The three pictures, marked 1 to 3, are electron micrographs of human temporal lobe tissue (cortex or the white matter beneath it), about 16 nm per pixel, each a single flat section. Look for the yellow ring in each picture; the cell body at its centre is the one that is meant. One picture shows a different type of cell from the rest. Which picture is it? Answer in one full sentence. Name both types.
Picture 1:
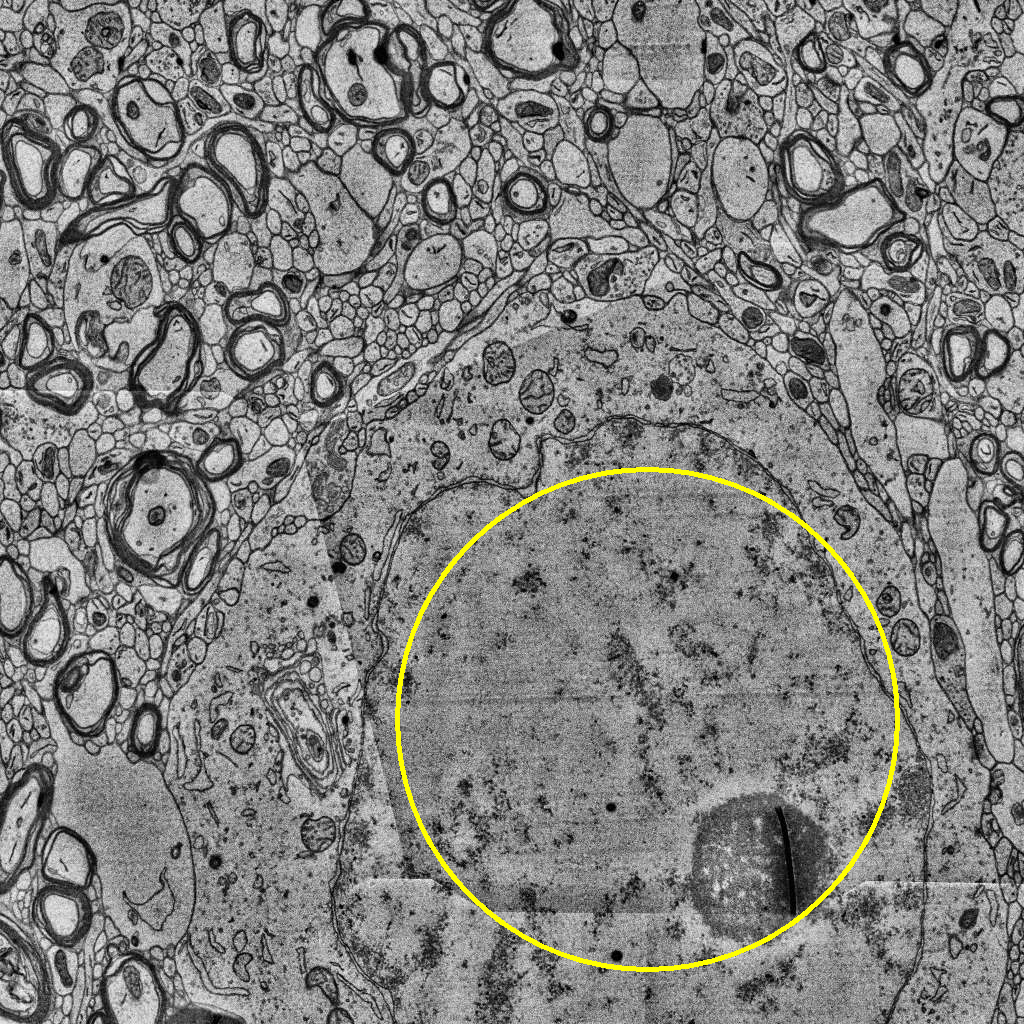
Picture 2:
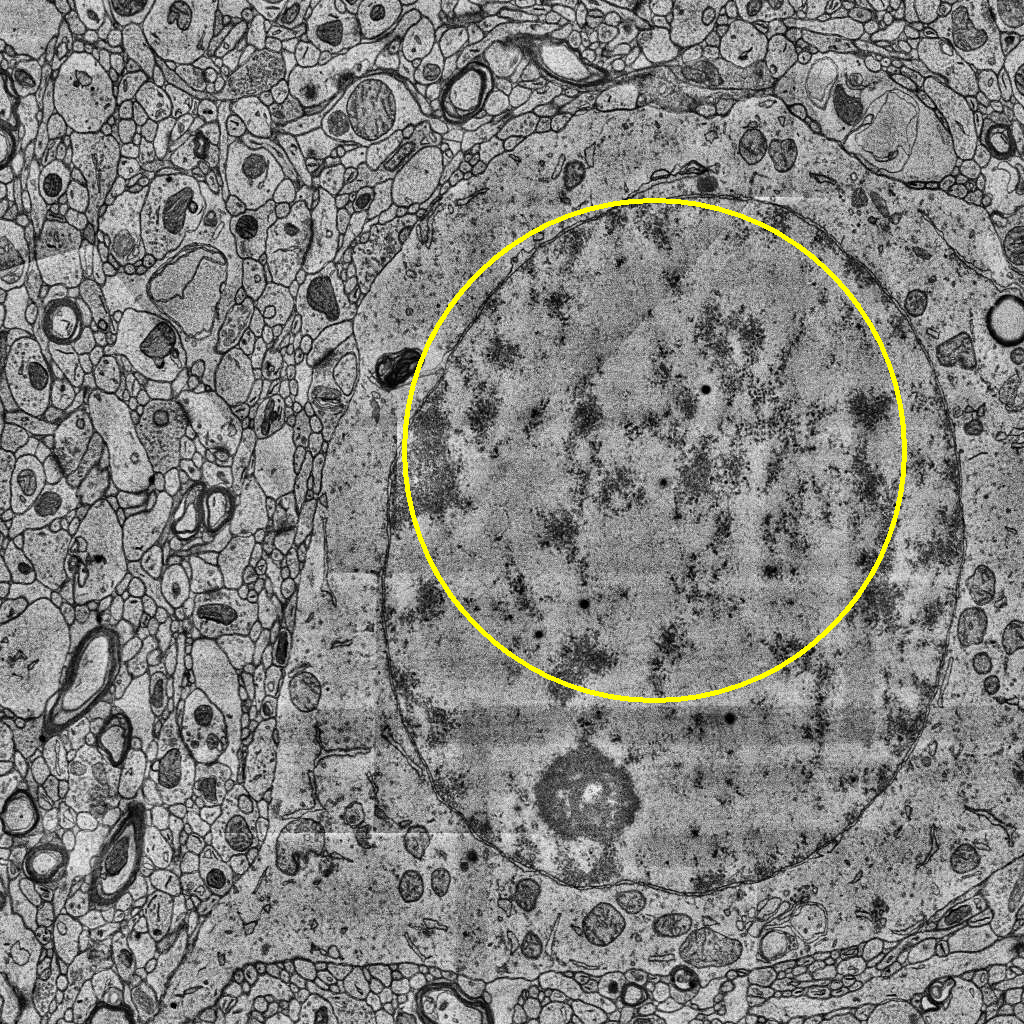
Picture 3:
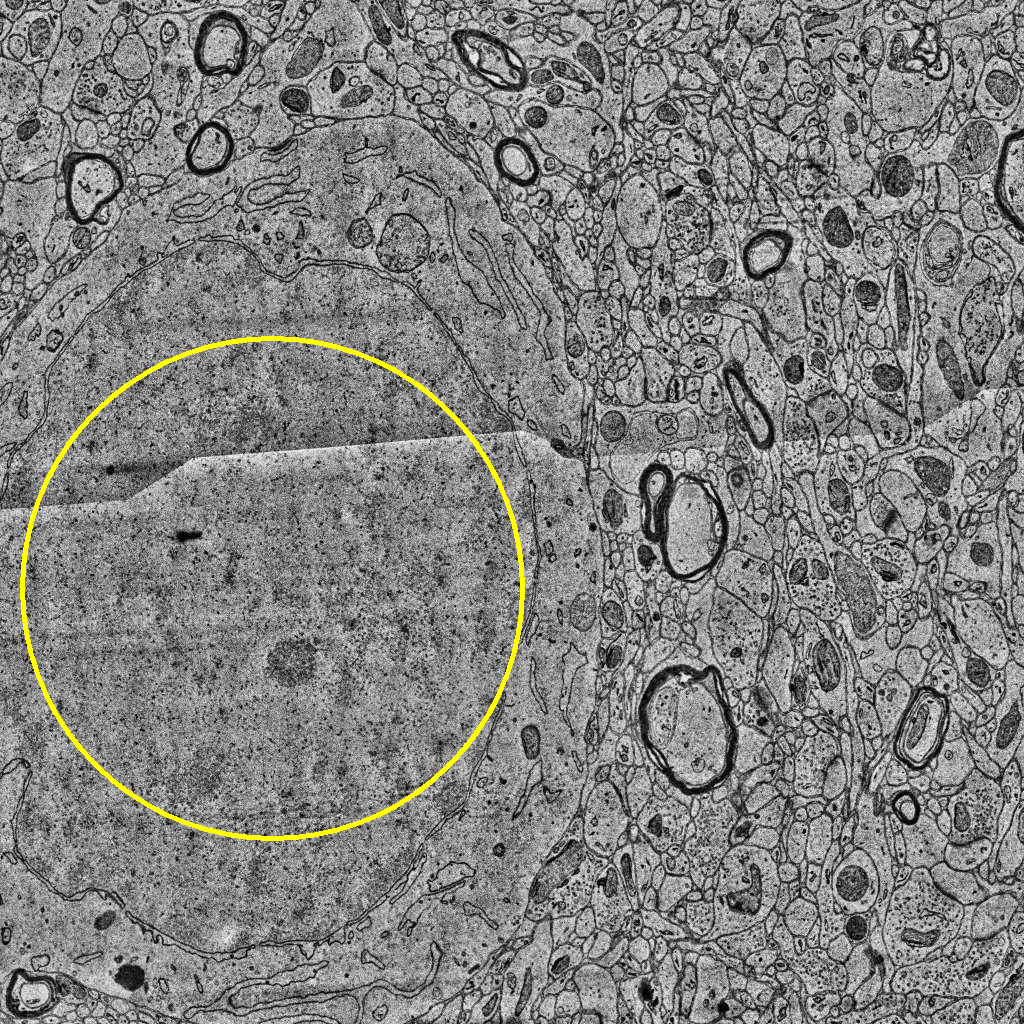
Picture 2 is the odd one out: it shows a pyramidal neuron, while the others show interneurons.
